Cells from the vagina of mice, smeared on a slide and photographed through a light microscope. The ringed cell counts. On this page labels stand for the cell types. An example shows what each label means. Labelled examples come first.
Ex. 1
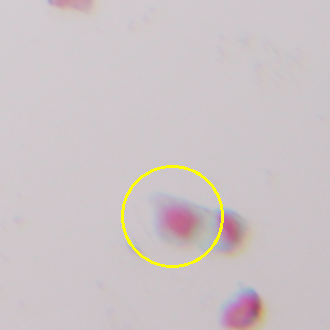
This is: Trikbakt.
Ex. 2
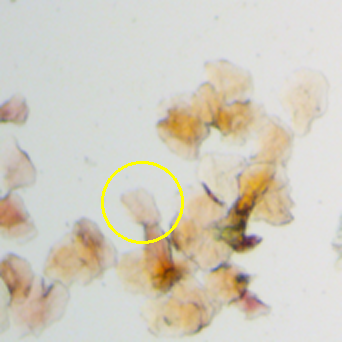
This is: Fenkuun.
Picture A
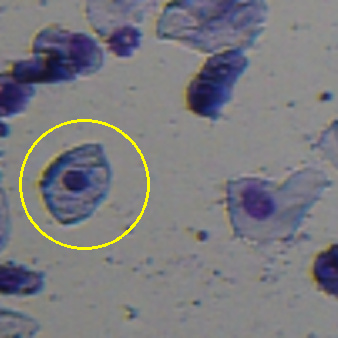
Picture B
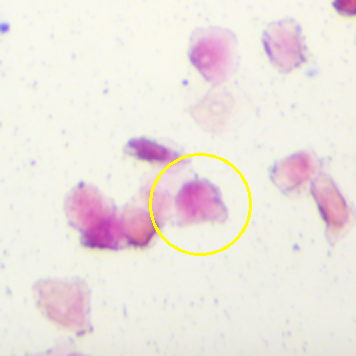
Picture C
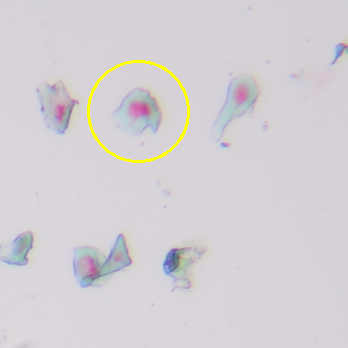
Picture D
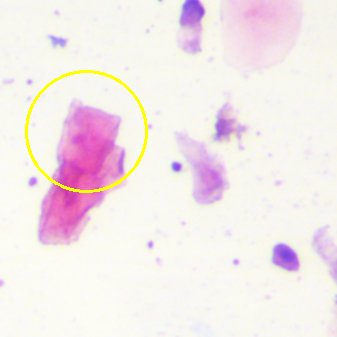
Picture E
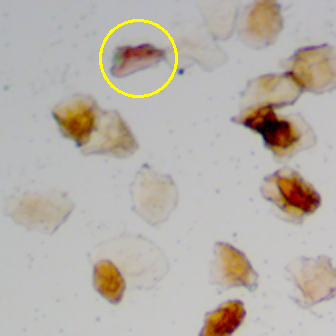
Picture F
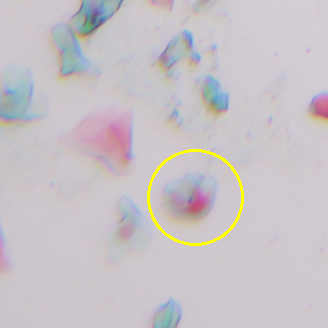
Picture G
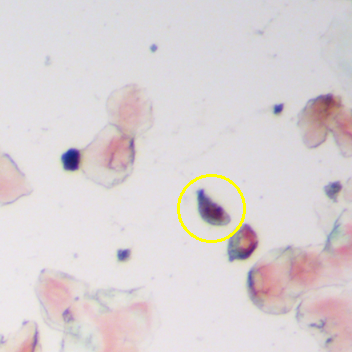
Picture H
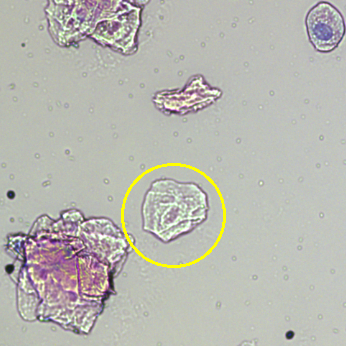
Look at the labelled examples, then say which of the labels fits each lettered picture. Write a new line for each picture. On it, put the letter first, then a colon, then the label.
A: Trikbakt.
B: Fenkuun.
C: Trikbakt.
D: Fenkuun.
E: Fenkuun.
F: Trikbakt.
G: Trikbakt.
H: Fenkuun.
